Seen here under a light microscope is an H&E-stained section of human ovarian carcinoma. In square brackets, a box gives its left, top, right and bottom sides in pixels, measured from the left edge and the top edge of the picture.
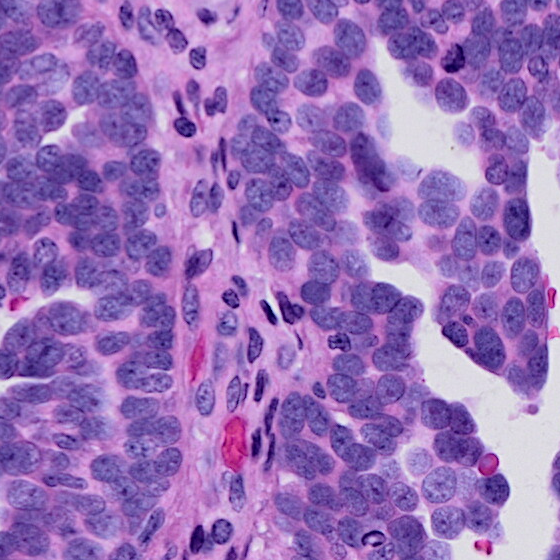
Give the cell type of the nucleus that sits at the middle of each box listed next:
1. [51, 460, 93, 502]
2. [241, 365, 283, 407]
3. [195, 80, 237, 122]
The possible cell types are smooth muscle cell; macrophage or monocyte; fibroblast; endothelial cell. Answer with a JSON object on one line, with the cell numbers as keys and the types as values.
{"1": "macrophage or monocyte", "2": "fibroblast", "3": "macrophage or monocyte"}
